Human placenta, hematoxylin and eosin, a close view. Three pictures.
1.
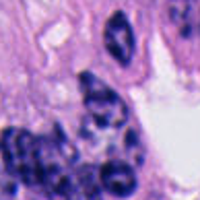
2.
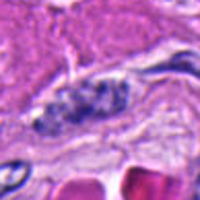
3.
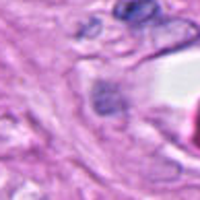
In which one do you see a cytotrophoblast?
In picture 2.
